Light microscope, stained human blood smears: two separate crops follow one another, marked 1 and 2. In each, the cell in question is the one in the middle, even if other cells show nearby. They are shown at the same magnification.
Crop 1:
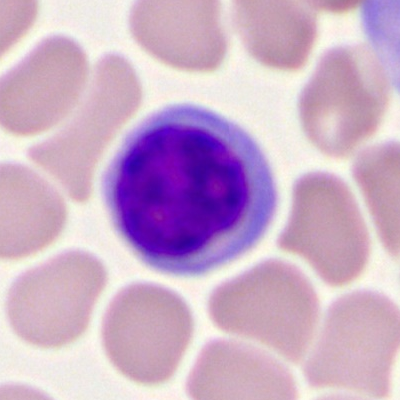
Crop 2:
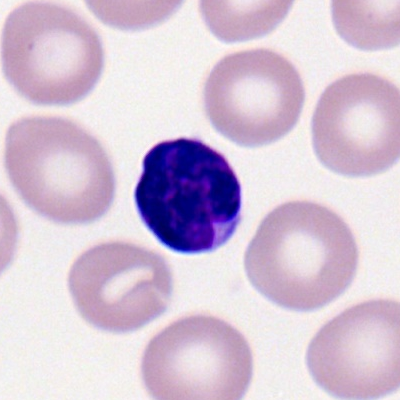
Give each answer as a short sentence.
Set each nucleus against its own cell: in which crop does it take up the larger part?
The nucleus fills more of the cell in crop 2 than in crop 1.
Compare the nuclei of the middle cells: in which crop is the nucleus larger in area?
The nucleus in crop 1 is larger, with about 1.5 times the area of the one in crop 2.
